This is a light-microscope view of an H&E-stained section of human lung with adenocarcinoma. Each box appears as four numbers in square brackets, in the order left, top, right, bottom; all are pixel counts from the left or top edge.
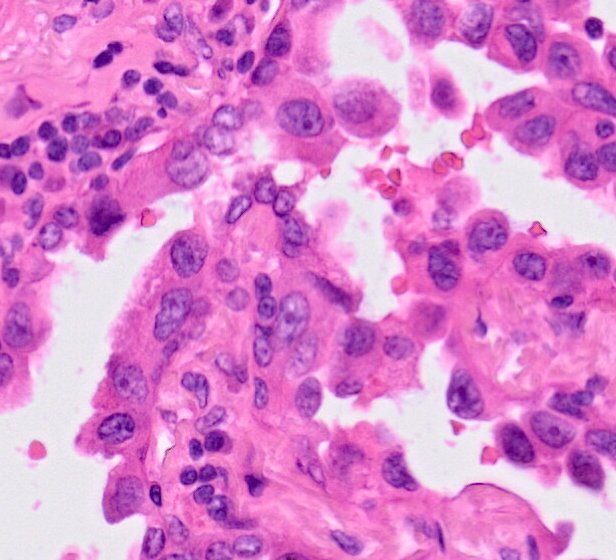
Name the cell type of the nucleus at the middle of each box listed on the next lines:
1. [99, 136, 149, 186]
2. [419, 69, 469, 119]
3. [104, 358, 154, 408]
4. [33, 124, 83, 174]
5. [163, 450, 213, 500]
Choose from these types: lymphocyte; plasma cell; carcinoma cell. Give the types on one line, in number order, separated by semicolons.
lymphocyte; carcinoma cell; carcinoma cell; lymphocyte; lymphocyte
